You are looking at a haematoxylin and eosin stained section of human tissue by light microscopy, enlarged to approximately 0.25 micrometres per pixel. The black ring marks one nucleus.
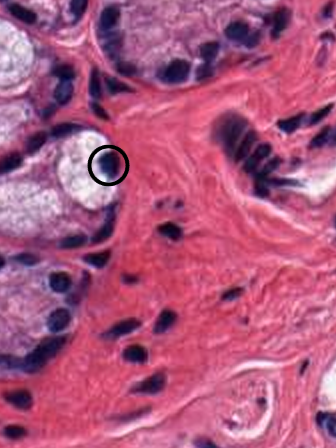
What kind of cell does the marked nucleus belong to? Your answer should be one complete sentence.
Here the marked nucleus belongs to a mucous gland cell.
